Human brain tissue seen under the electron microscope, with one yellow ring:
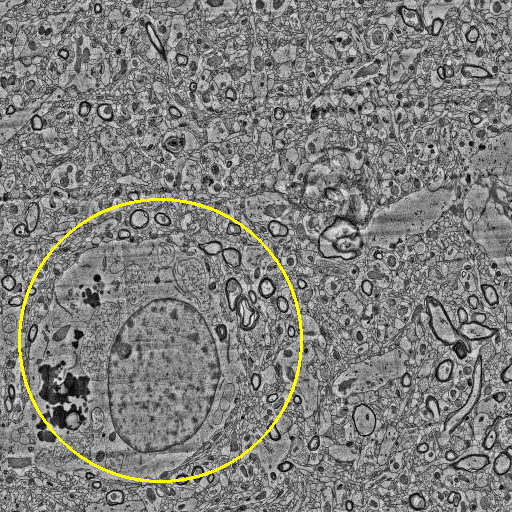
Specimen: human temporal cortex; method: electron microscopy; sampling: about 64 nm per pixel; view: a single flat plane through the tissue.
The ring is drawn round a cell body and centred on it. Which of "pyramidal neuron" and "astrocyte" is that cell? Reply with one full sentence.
The picture shows an astrocyte at the very centre of the yellow ring.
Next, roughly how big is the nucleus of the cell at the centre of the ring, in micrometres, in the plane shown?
The nucleus is approximately 10 micrometers long by 7 micrometers wide in this plane.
